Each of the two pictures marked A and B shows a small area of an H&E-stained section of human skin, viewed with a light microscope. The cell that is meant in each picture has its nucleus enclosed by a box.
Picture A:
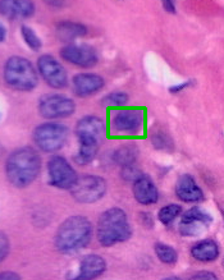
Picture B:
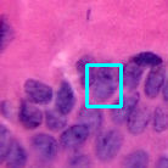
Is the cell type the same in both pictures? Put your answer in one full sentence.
Yes, the two pictures both show basal keratinocytes.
